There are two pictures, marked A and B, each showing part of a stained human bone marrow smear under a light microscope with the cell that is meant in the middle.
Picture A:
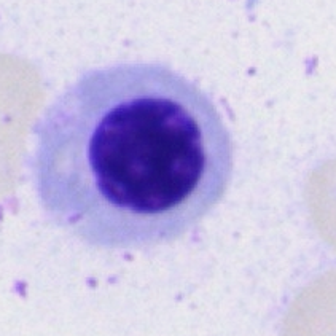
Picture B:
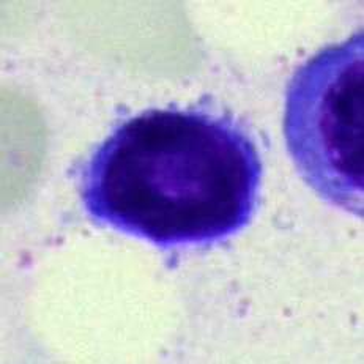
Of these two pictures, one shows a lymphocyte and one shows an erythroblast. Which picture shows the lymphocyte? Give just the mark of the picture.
B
